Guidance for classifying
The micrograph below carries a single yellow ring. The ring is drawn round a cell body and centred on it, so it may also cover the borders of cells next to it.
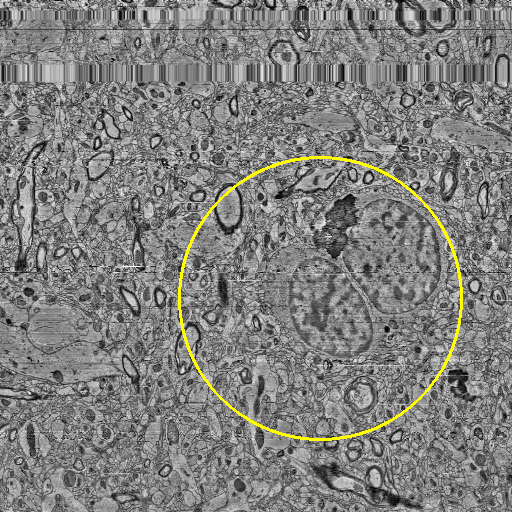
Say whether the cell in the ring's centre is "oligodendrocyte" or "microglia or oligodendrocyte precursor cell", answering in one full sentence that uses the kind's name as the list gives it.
Within the yellow ring, an oligodendrocyte is the cell whose body sits at the centre.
